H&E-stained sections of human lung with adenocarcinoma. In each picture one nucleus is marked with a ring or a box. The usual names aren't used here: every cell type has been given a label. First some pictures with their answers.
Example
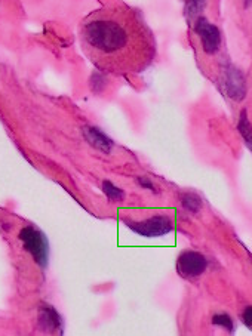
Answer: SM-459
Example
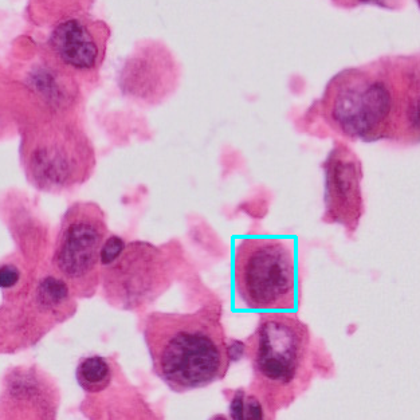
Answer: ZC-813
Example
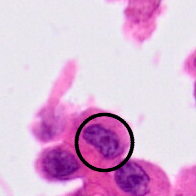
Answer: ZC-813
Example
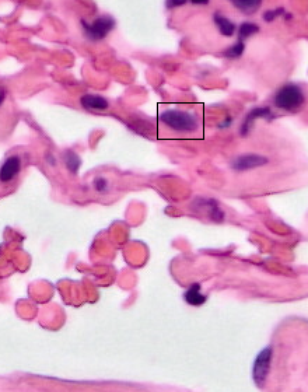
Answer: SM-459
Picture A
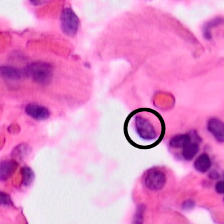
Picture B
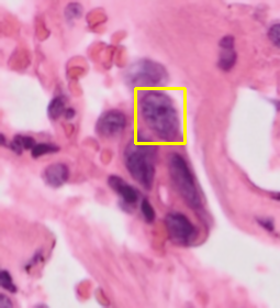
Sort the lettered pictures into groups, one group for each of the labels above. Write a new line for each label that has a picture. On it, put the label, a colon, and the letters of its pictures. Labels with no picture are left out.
SM-459: A
ZC-813: B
